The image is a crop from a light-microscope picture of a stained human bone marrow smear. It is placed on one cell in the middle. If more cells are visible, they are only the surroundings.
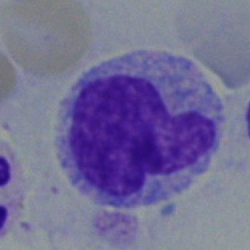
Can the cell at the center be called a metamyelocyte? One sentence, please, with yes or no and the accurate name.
No, the cell located centrally is a monocyte rather than a metamyelocyte.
